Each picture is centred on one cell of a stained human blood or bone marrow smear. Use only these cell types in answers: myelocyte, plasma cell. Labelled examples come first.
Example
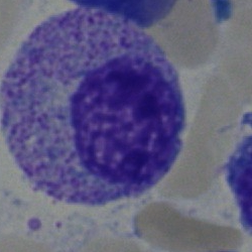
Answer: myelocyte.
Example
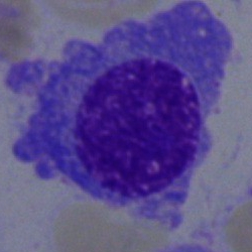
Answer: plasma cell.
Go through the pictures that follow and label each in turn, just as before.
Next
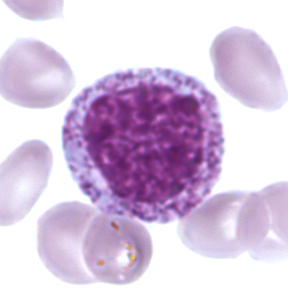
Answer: myelocyte.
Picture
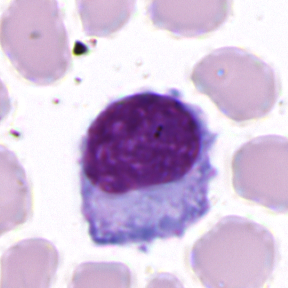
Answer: plasma cell.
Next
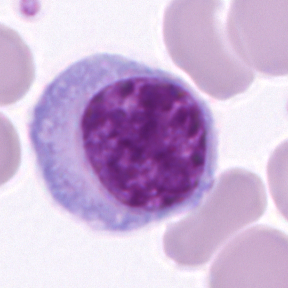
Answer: plasma cell.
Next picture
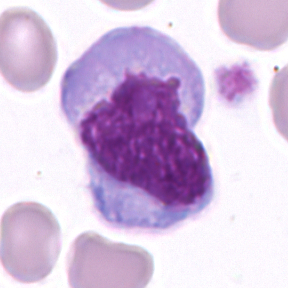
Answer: plasma cell.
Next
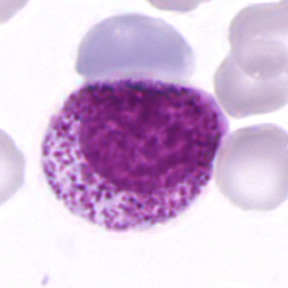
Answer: myelocyte.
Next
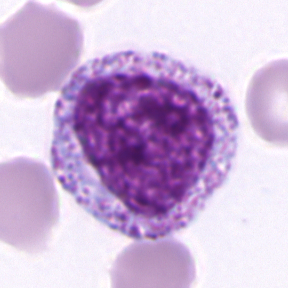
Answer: myelocyte.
